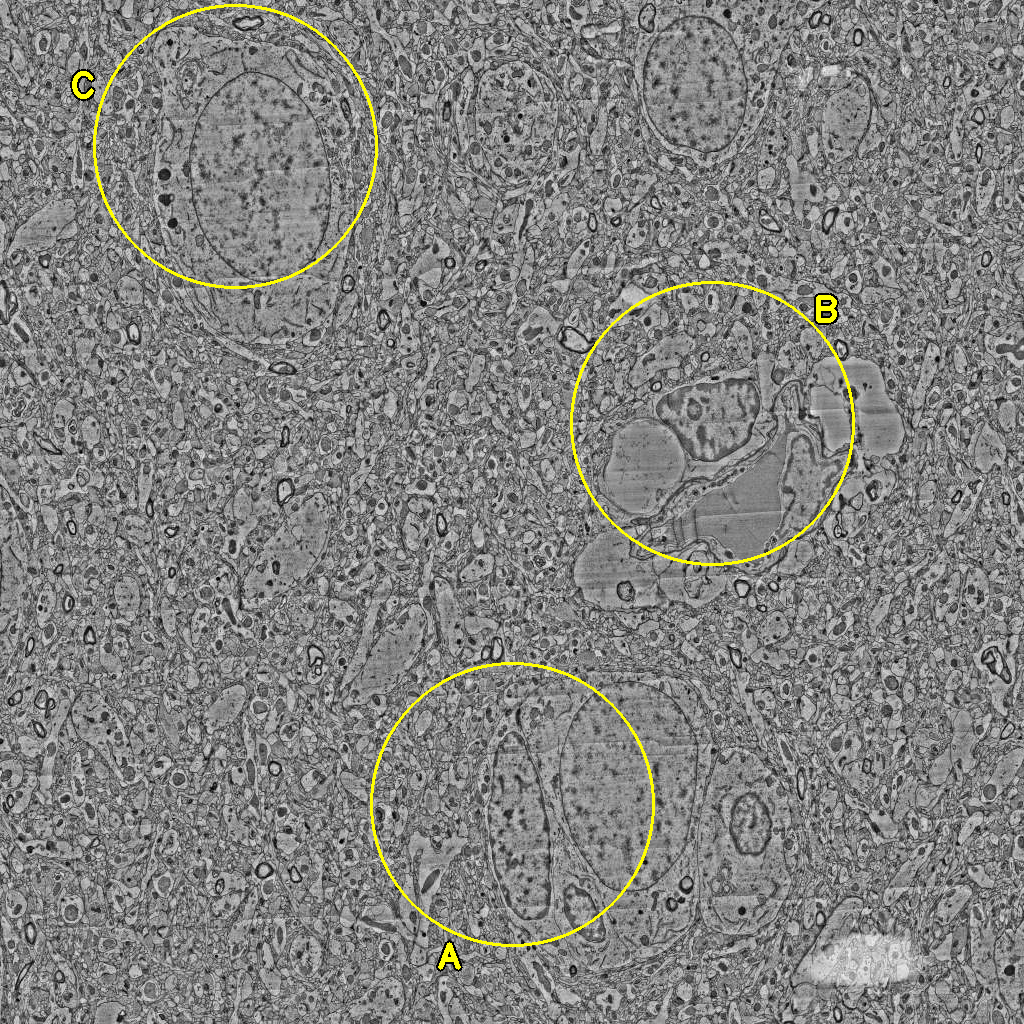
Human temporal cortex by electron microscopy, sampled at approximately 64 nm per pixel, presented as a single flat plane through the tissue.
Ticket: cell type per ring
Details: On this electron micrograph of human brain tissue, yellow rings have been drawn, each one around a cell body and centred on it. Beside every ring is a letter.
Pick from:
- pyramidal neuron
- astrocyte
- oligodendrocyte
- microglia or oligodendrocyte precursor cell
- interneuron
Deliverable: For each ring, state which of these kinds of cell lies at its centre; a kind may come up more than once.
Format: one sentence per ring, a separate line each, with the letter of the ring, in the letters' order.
The cell body ringed as A belongs to a microglial cell or oligodendrocyte precursor cell.
The cell body ringed as B belongs to a microglial cell or oligodendrocyte precursor cell.
The cell body ringed as C belongs to a pyramidal neuron.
